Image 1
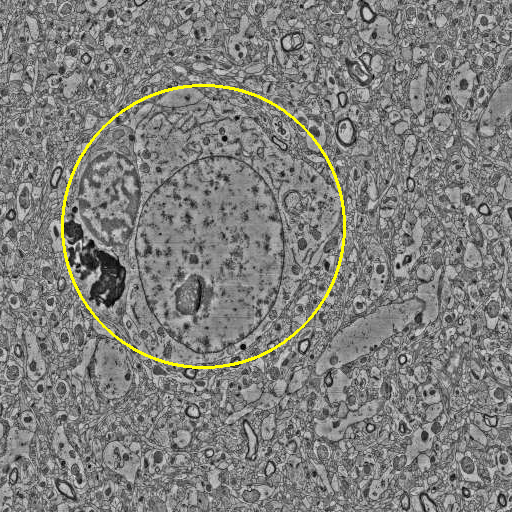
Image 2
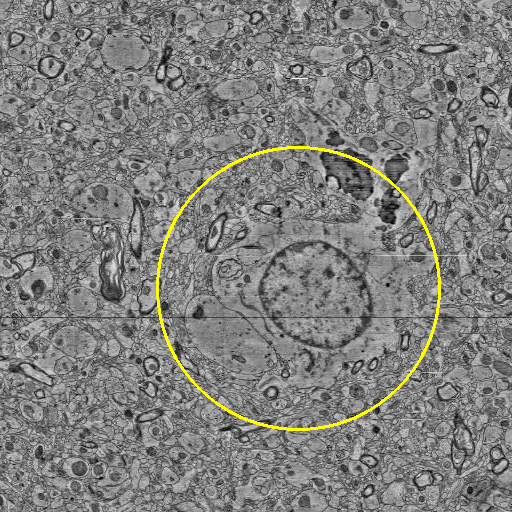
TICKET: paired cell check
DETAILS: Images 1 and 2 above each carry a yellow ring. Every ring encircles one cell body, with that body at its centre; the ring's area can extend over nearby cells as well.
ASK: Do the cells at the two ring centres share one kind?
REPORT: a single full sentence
No, the ring-centre cells of Images 1 and 2 belong to two kinds.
